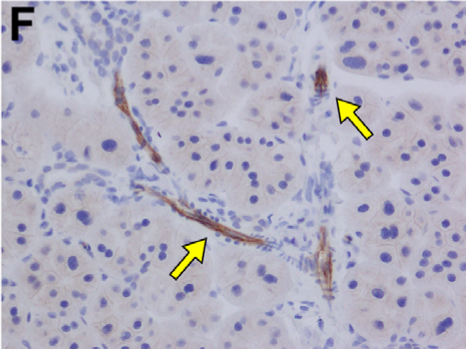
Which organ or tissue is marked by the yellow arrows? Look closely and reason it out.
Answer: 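Brown staining in elongated vessel profiles in the septa between lobules. Glandular cells around them are unstained.
Vascular endothelium.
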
